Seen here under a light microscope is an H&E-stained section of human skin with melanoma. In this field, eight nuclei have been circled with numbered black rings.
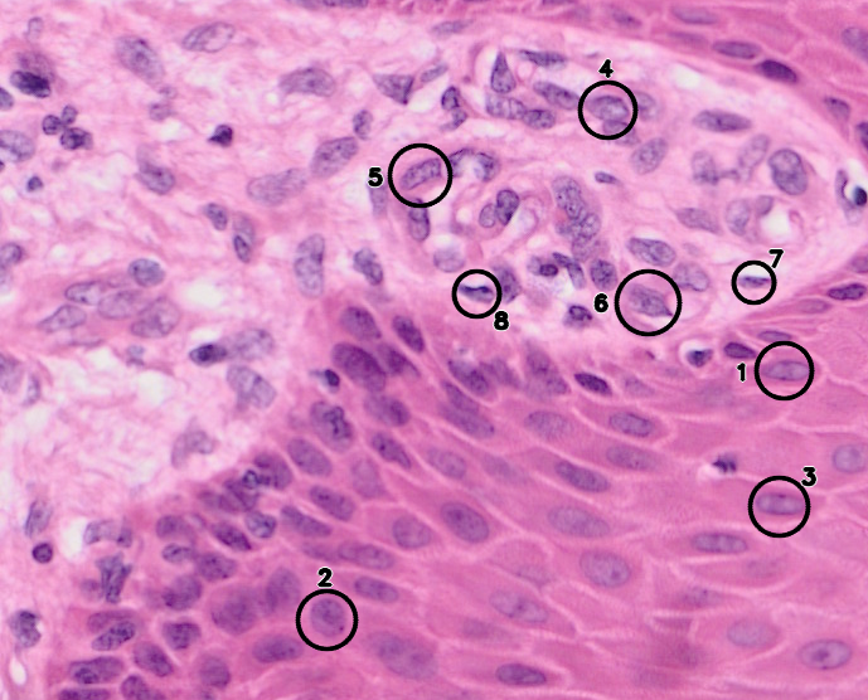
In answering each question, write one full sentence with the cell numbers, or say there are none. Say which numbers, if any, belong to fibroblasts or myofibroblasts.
Exactly one numbered cell is a fibroblast or myofibroblast, and that cell is number 7.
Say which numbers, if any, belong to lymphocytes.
Among the numbered nuclei, only the one labelled 8 belongs to a lymphocyte.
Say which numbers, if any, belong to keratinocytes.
On this slide, the cells numbered 1, 2 and 3 are keratinocytes.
